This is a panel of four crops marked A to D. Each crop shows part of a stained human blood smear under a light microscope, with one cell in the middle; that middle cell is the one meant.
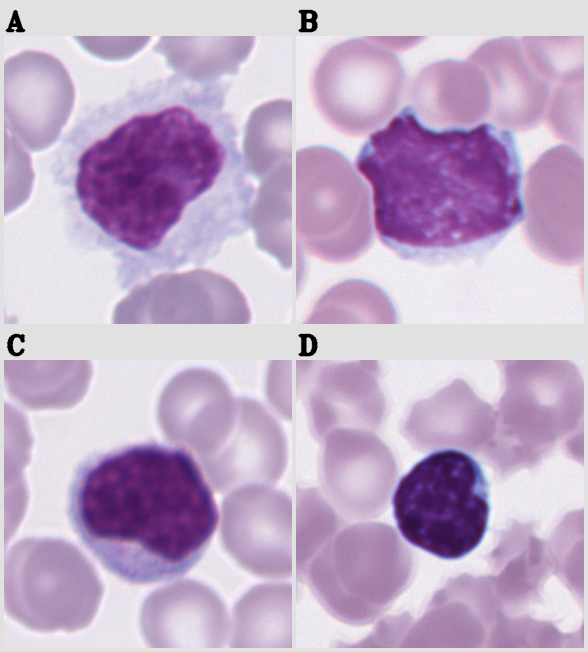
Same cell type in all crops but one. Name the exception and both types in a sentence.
The cells centred in the other crops are all typical lymphocytes, but crop A is a hairy cell.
